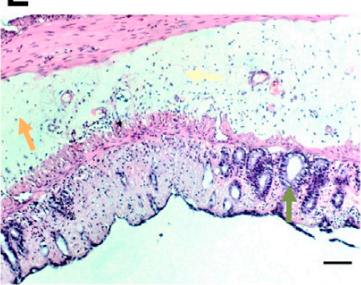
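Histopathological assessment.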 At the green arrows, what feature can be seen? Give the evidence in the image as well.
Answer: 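Tubular gland profiles lined by dark-nucleated cells are present in the mucosa at the arrow. So: glands and crypts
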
